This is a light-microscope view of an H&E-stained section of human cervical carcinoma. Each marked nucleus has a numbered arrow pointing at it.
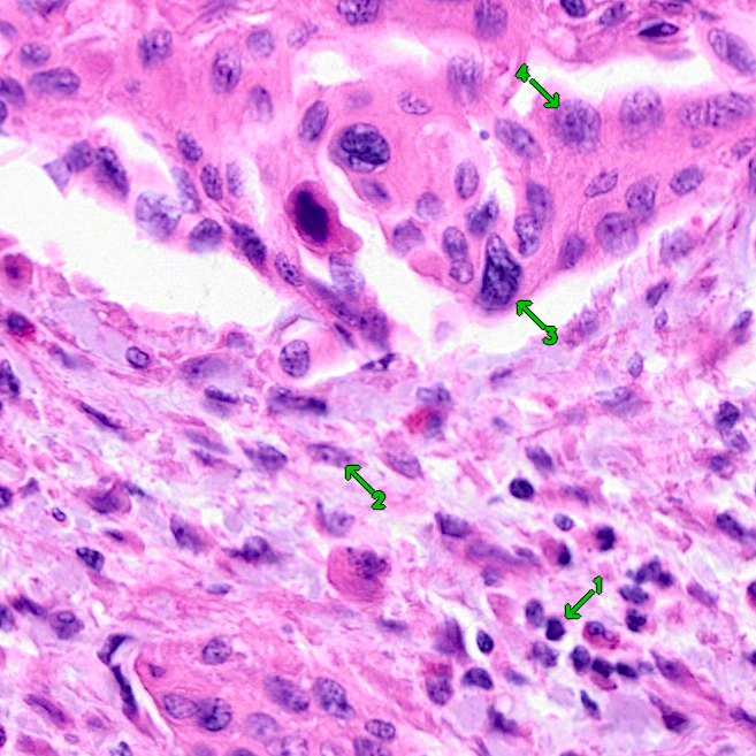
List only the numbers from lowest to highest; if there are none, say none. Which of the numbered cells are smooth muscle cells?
none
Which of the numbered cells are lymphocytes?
1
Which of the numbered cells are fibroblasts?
2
